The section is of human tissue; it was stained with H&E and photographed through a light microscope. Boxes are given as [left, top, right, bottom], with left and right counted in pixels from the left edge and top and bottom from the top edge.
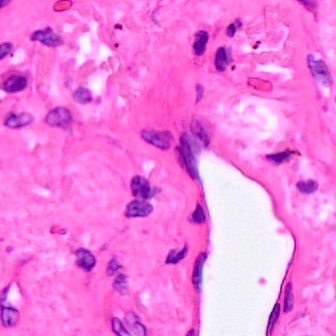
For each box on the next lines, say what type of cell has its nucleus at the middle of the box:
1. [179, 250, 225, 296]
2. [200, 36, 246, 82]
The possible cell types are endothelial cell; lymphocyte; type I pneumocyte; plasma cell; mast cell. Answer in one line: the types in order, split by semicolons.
endothelial cell; plasma cell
